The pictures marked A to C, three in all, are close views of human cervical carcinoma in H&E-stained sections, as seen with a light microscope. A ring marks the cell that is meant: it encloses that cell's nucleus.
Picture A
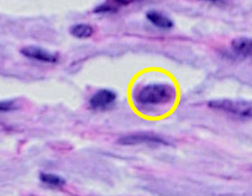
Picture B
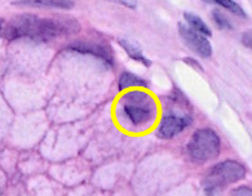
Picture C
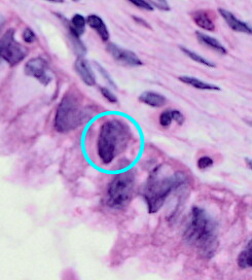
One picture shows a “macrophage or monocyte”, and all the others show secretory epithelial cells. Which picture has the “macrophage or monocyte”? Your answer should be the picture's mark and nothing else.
A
